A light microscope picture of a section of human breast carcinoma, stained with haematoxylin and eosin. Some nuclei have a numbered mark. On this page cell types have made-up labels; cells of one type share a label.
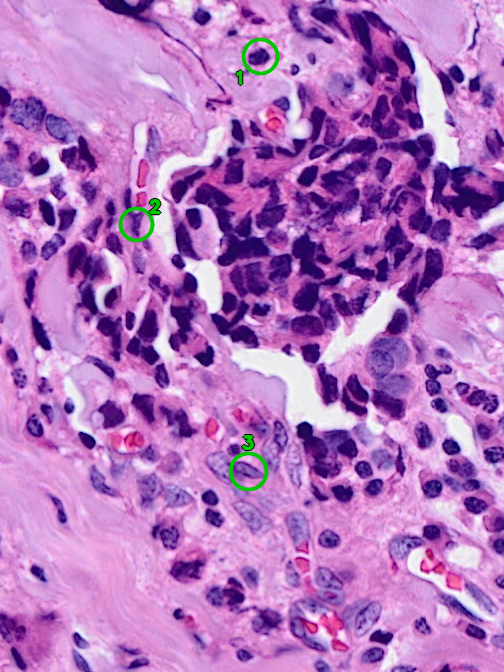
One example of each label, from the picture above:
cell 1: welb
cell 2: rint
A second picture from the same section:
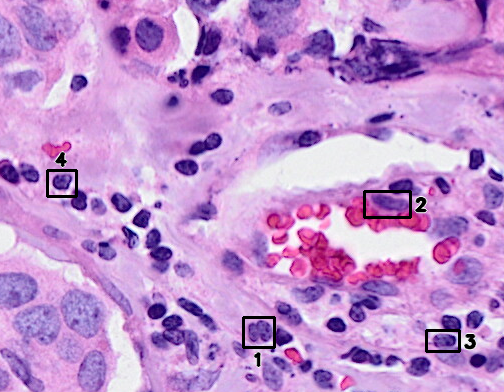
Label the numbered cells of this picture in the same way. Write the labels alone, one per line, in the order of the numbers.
welb
rint
welb
welb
